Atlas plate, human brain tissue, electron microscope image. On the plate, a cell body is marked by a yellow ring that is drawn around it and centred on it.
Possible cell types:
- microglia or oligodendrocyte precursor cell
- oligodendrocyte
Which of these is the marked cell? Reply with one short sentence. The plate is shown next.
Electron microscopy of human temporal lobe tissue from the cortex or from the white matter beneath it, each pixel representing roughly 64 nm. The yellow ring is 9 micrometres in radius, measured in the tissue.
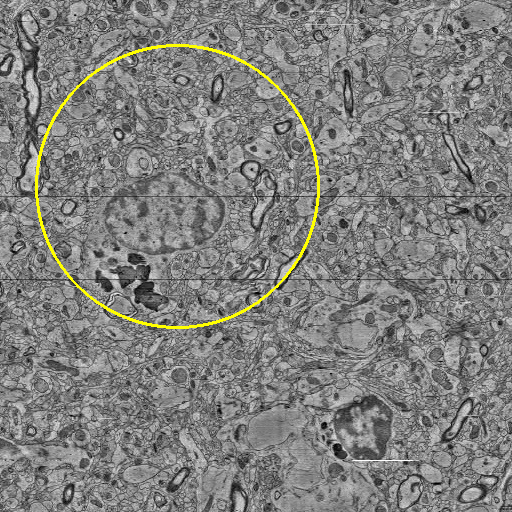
The marked cell is an oligodendrocyte.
